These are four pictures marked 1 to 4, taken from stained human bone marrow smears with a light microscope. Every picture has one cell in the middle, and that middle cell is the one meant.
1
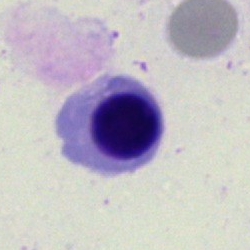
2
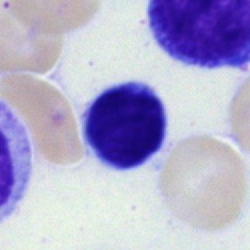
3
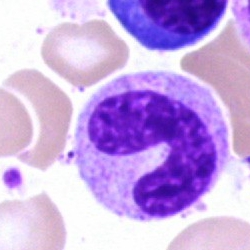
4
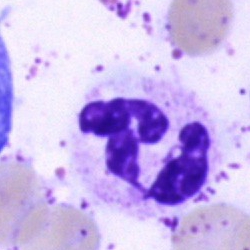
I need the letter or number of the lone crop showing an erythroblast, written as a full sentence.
Among the crops provided, an erythroblast occupies the center of crop 1.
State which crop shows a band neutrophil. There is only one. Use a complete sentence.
The one showing a band neutrophil is crop 3.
